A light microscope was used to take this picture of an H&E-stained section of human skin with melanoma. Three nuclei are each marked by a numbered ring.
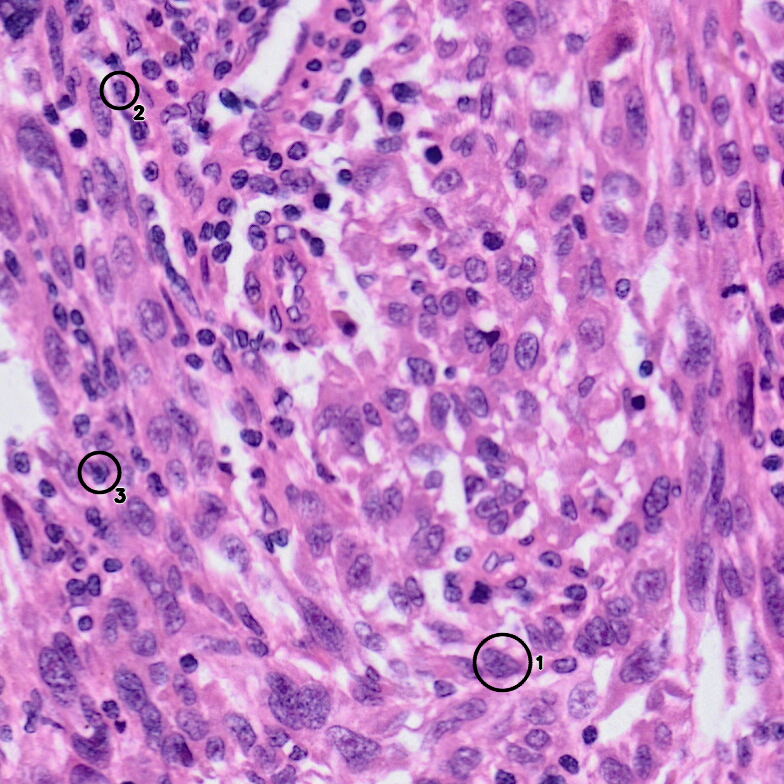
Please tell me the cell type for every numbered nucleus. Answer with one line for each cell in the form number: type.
1: melanoma cell
2: lymphocyte
3: lymphocyte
